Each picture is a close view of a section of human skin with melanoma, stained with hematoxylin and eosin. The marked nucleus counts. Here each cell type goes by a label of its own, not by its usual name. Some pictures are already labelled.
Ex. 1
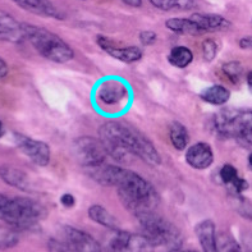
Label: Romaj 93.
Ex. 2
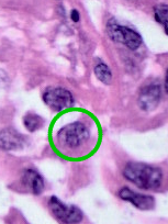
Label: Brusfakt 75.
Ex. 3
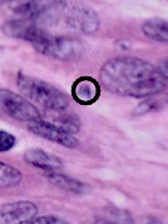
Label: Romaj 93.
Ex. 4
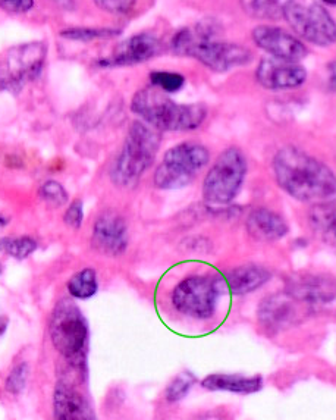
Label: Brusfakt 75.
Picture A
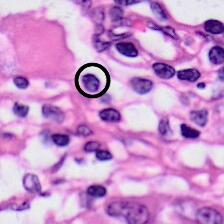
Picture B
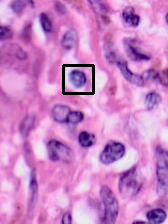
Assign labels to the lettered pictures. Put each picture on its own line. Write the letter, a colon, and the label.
A: Romaj 93.
B: Romaj 93.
